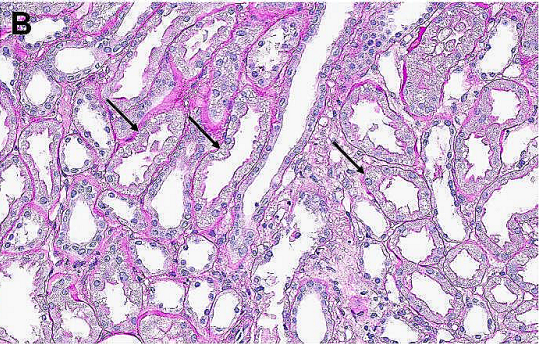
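This is renal tubular tissue in which the cells of the proximal tubular epithelium are shown in cross-section and along their length. Many of the epithelial cells have pale, finely vacuolated cytoplasm. The vacuoles are of fairly even size, and the cells have small round blue nuclei. The tubules are outlined by magenta basement membranes, and the spaces between them hold few cells.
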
